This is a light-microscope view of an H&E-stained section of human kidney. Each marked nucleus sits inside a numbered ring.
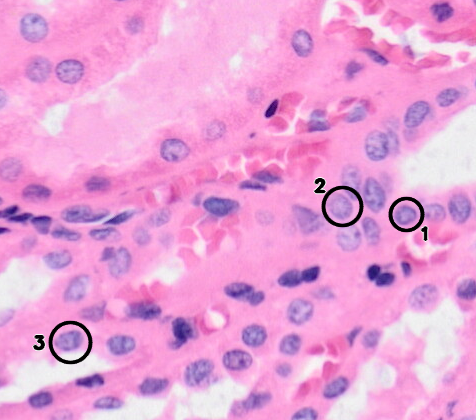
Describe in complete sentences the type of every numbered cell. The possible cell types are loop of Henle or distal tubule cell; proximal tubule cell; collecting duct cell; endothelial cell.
Cell 1 is a collecting duct cell, cell 2 is a collecting duct cell and cell 3 is a loop of Henle or distal tubule cell.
